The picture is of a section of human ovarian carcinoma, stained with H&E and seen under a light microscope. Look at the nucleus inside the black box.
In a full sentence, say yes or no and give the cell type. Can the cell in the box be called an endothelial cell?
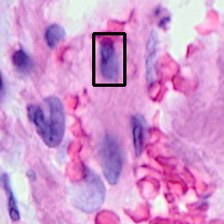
Yes, correct on this one: the cell in the box is an endothelial cell.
